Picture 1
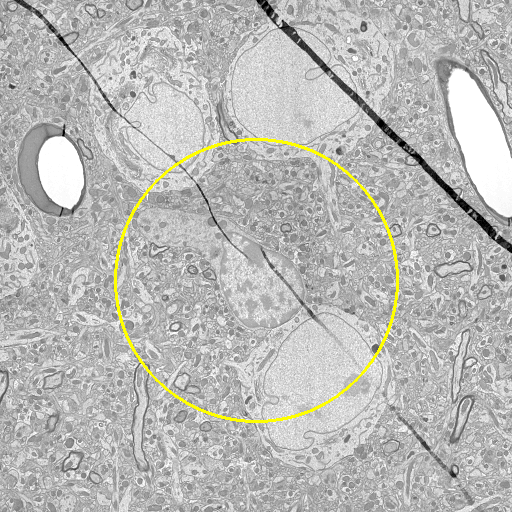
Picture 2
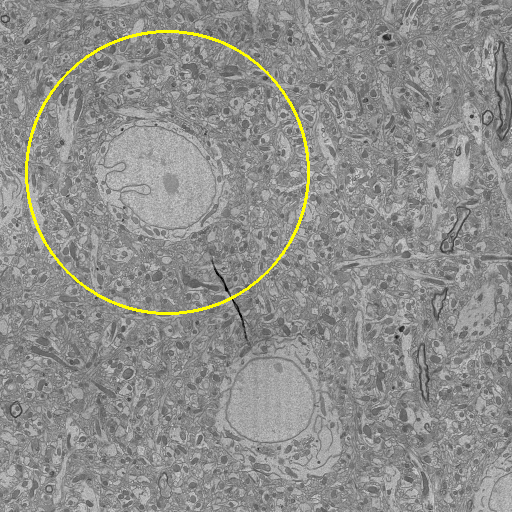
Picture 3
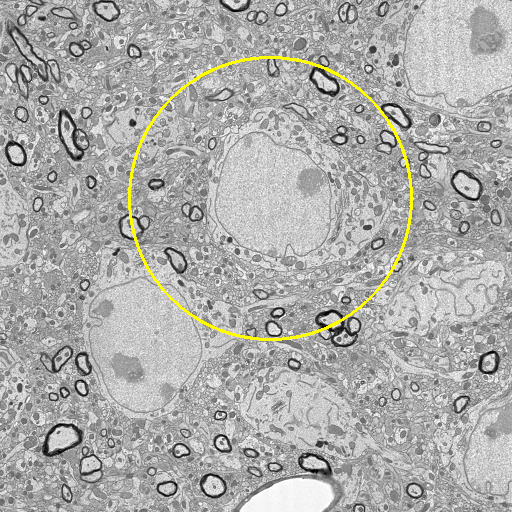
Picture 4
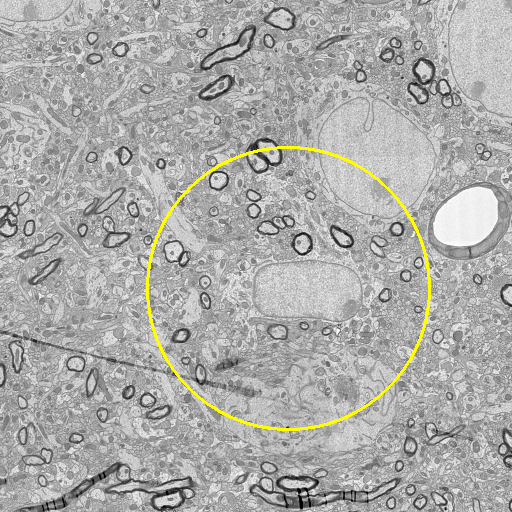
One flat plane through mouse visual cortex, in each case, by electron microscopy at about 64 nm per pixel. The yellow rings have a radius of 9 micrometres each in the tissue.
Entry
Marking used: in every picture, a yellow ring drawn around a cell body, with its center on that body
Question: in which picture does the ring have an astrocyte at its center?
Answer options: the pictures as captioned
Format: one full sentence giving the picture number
Picture 4 is where the ring's center falls on the requested cell.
